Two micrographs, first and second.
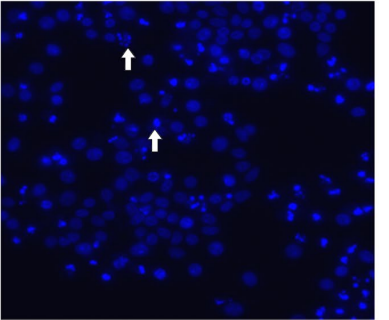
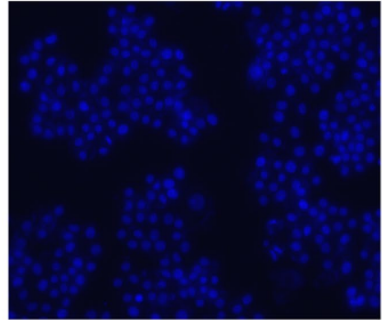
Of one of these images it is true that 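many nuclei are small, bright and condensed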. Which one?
The first image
